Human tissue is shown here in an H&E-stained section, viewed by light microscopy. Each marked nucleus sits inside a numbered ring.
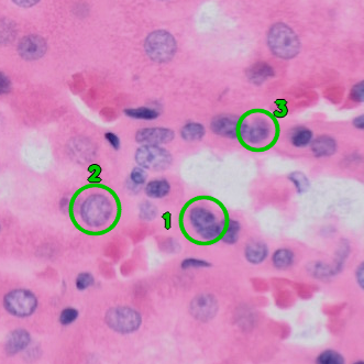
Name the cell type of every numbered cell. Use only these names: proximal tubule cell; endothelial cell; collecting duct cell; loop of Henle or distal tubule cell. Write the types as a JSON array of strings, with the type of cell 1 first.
["collecting duct cell", "proximal tubule cell", "collecting duct cell"]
